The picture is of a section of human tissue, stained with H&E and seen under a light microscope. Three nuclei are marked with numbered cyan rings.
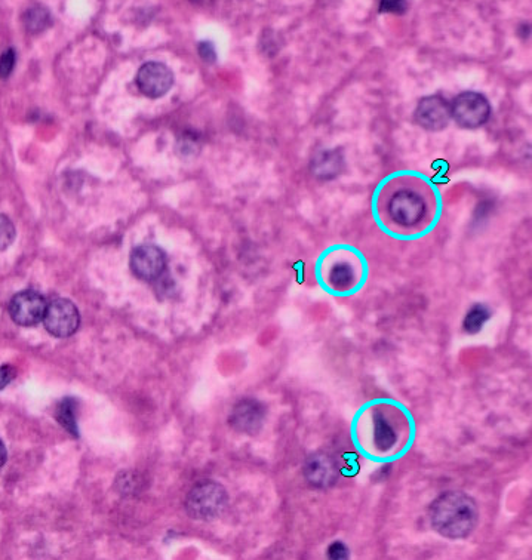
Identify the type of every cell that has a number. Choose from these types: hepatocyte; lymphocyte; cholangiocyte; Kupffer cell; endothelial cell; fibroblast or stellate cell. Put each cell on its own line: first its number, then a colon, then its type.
1: lymphocyte
2: hepatocyte
3: Kupffer cell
